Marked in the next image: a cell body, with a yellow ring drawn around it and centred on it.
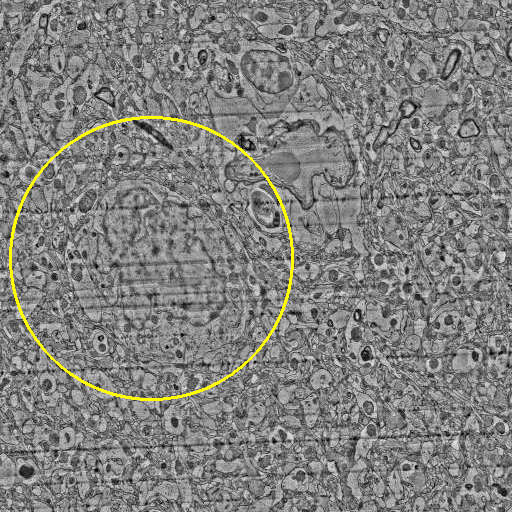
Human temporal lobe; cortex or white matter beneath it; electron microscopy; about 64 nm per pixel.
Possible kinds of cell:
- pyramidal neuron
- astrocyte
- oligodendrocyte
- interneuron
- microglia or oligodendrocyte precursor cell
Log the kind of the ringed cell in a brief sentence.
The ringed cell body is that of an interneuron.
